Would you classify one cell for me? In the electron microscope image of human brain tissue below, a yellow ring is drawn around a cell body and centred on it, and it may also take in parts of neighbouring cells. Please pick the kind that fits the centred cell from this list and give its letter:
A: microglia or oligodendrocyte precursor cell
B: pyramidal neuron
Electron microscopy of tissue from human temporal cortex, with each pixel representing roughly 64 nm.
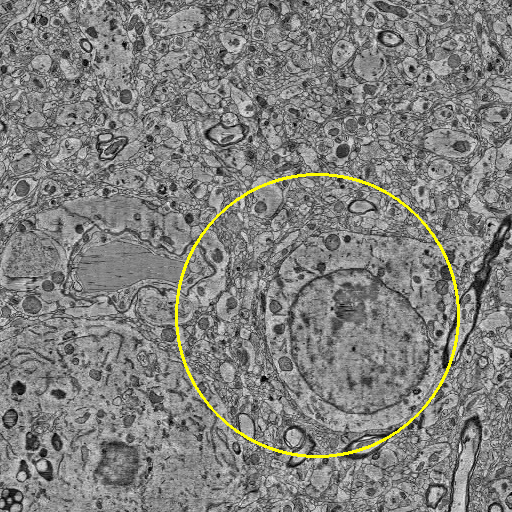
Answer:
B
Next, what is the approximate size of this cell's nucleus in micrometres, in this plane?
Approximately 10 micrometres long and 8 micrometres wide, in this plane.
